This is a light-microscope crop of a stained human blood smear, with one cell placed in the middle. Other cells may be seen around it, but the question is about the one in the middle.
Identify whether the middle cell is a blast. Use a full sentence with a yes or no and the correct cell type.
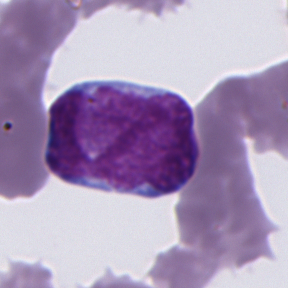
Yes, the centre of the crop holds a blast.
